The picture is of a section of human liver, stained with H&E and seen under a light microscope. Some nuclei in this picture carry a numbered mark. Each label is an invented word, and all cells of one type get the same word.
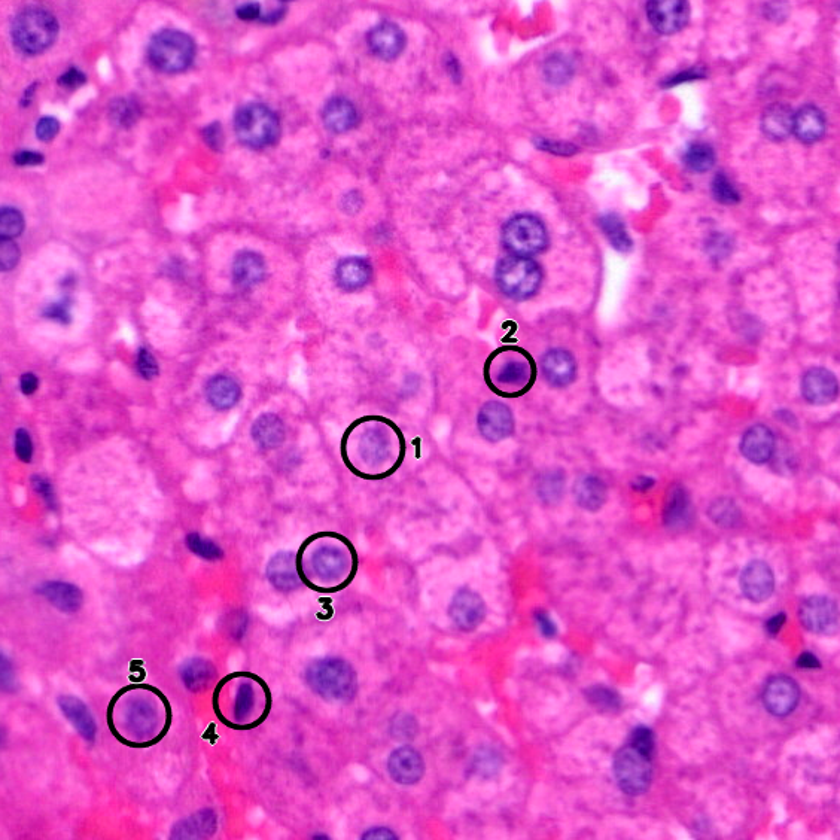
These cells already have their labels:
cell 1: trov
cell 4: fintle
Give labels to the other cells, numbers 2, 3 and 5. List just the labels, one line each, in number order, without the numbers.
fintle
trov
trov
